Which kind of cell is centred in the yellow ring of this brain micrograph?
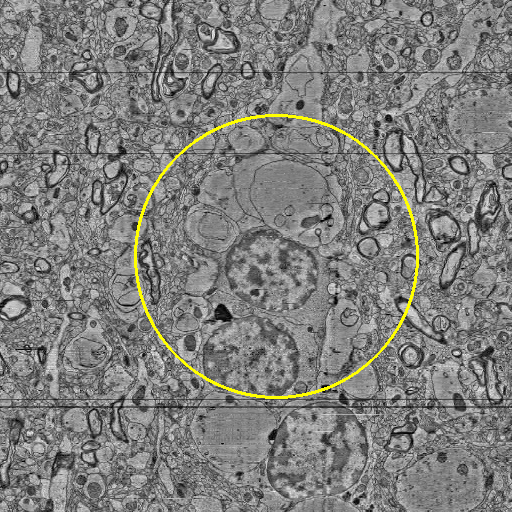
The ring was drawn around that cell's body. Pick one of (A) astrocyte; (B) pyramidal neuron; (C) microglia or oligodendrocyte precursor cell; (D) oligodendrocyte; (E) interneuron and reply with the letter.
D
